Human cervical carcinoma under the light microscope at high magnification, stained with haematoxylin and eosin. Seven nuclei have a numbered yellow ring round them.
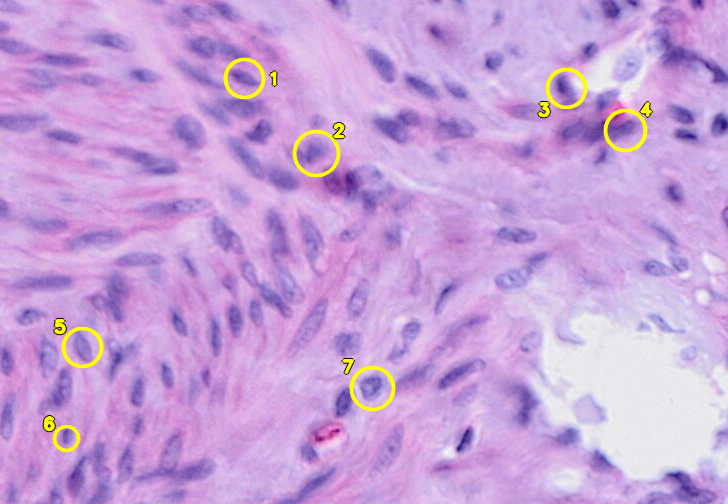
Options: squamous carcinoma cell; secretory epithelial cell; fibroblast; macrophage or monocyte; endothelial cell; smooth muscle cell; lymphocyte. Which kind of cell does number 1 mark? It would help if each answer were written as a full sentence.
Here the cell numbered 1 is a smooth muscle cell.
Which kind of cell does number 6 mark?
Nucleus 6 in this section belongs to a smooth muscle cell.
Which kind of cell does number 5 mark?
Identified as a smooth muscle cell is the cell bearing the number 5.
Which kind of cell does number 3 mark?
The cell with the number 3 is an endothelial cell.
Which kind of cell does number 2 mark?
Within this field of view, the cell labelled 2 is a fibroblast.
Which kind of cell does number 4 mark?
The cell indicated with the number 4 is classed as an endothelial cell.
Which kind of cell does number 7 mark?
Number 7 is placed on a fibroblast here.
